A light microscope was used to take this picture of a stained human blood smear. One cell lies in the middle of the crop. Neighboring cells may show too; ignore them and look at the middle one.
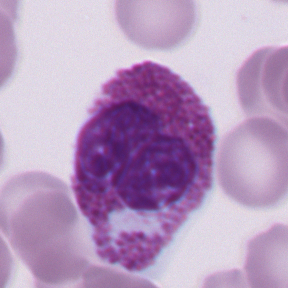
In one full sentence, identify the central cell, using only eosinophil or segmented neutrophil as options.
Here the cell in the middle is an eosinophil.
